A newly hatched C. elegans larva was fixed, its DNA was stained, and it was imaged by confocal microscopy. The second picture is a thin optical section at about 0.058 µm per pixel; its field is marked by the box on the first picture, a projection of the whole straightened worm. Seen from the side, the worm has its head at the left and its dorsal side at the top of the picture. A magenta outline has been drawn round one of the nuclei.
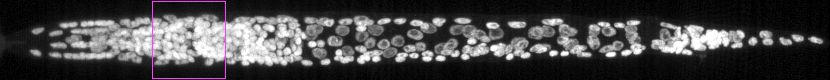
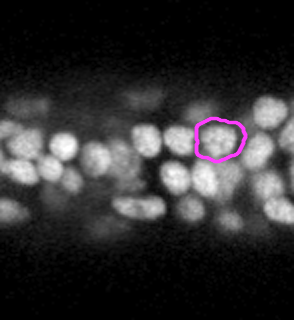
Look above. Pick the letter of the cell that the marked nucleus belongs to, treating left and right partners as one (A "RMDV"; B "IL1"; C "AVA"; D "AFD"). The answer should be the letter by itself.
D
